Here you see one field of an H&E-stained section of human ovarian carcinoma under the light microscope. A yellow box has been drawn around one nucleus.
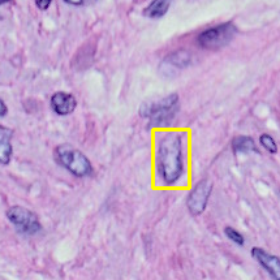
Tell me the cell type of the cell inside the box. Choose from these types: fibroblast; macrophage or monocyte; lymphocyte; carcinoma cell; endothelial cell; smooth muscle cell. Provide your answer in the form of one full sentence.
In this tissue section, the cell inside the box is to be classed as a fibroblast.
